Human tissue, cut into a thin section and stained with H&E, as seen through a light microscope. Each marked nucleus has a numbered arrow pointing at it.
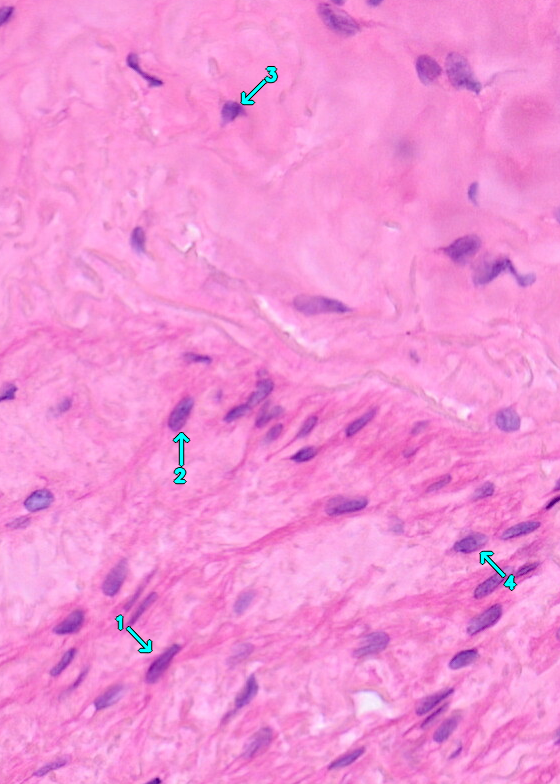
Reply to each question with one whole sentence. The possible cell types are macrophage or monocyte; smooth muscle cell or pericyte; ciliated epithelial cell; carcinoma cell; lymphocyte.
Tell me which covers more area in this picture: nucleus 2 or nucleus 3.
The larger nucleus is 2, at roughly 1.5 times the area of 3.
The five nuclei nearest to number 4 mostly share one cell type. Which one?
Of the five nuclei nearest to number 4, most belong to smooth muscle cells or pericytes.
